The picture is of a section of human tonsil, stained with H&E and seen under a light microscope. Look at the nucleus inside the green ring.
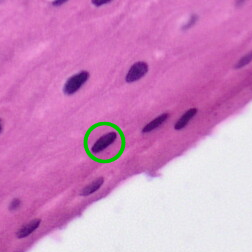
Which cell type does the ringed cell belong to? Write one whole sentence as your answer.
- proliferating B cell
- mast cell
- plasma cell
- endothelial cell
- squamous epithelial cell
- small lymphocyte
Considered by cell type, the ringed cell is a squamous epithelial cell.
